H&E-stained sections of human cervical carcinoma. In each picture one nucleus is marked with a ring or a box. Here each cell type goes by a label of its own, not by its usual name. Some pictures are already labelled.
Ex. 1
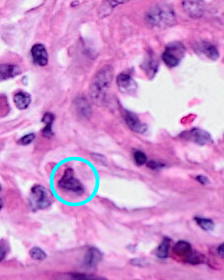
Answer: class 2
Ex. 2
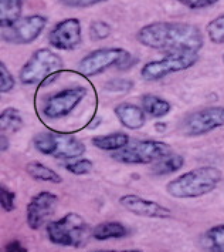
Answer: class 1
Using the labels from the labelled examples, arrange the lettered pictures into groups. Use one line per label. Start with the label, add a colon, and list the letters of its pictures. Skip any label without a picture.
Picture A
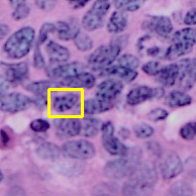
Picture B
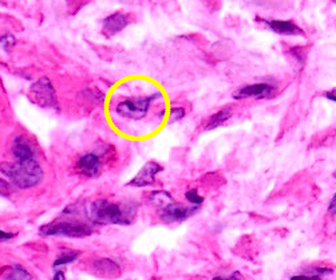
class 2: B
class 1: A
